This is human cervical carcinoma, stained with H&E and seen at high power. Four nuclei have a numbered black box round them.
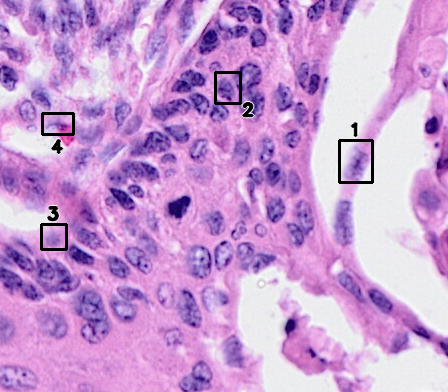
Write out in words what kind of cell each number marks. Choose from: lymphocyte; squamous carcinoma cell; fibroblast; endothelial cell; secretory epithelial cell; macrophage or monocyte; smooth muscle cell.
Cell 1 is a squamous carcinoma cell, cell 2 is a squamous carcinoma cell, cell 3 is a squamous carcinoma cell and cell 4 is an endothelial cell.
